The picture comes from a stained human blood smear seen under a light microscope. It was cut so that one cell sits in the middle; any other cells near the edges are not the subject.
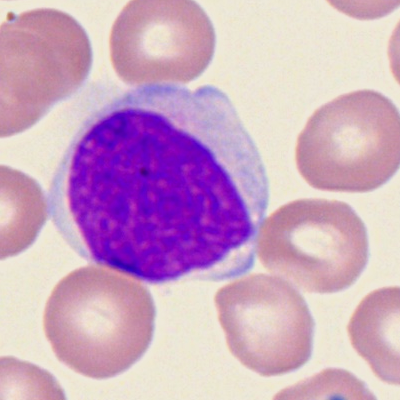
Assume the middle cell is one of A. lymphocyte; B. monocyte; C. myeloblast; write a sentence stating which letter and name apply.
What option C states is correct, the central cell being a myeloblast.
